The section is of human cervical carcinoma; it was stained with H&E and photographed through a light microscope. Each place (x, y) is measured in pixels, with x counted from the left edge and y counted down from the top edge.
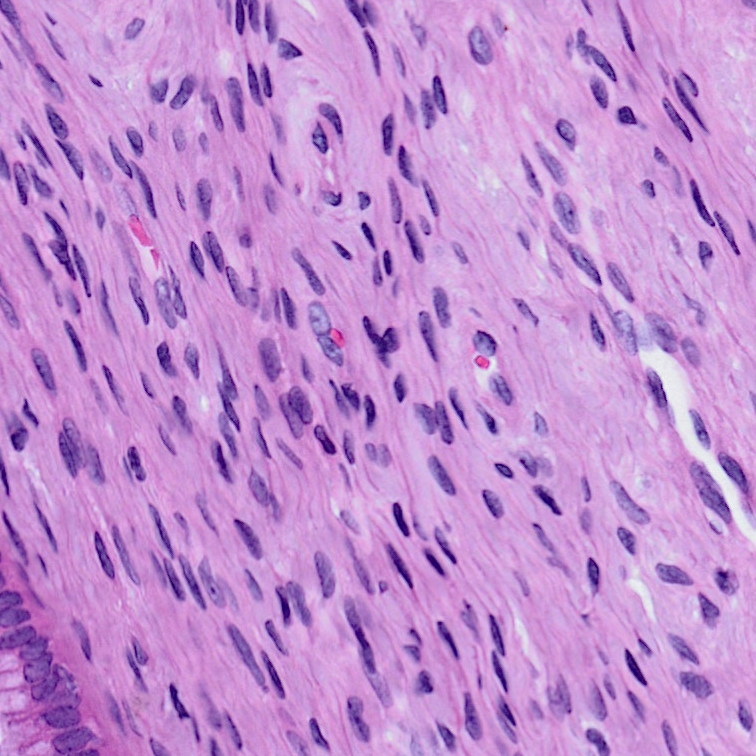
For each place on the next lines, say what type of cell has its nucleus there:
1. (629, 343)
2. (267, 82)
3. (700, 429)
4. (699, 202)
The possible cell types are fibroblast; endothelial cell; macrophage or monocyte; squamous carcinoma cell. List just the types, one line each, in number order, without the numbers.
endothelial cell
fibroblast
endothelial cell
fibroblast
